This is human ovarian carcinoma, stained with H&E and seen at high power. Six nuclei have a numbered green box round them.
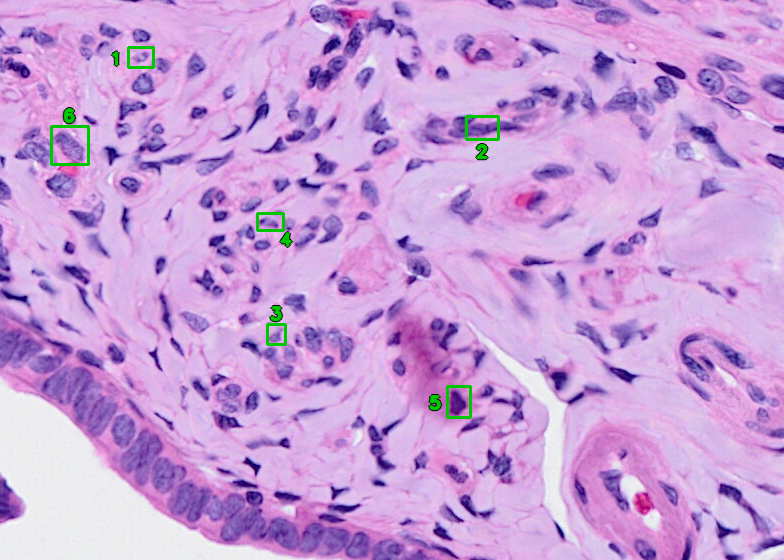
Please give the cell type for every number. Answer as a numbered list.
1. smooth muscle cell
2. endothelial cell
3. smooth muscle cell
4. smooth muscle cell
5. smooth muscle cell
6. endothelial cell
